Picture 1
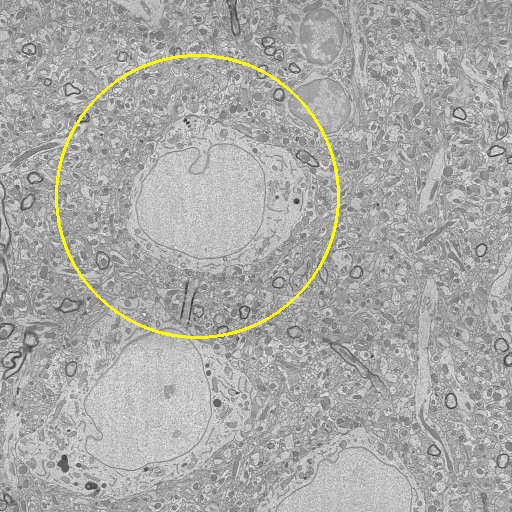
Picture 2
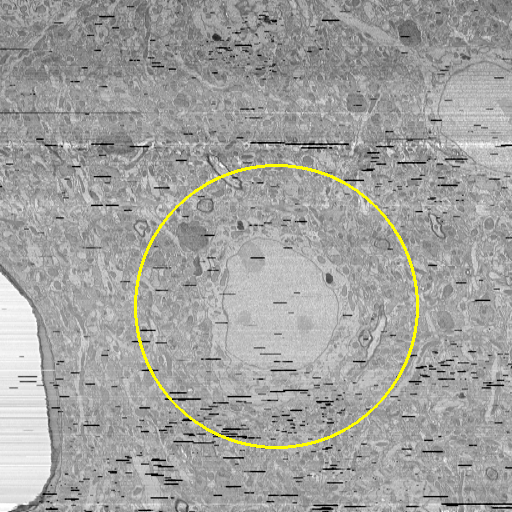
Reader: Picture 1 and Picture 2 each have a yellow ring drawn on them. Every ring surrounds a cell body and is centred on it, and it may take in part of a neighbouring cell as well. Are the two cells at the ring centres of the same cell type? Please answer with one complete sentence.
Yes, both cells are of the same cell type.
